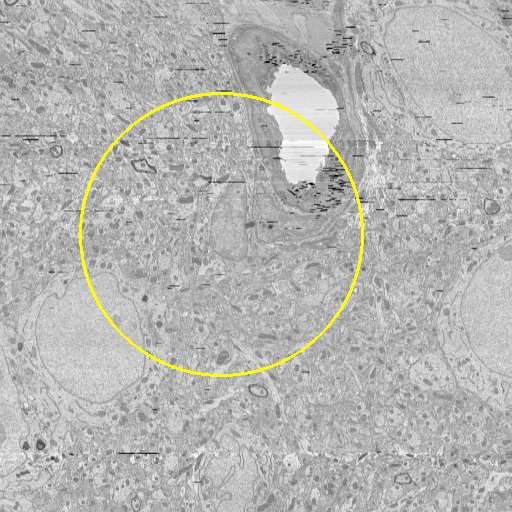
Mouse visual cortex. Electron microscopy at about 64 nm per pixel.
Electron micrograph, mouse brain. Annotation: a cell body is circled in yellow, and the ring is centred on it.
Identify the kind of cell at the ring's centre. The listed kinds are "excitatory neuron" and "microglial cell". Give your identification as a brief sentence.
The circled cell body is that of a microglial cell.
